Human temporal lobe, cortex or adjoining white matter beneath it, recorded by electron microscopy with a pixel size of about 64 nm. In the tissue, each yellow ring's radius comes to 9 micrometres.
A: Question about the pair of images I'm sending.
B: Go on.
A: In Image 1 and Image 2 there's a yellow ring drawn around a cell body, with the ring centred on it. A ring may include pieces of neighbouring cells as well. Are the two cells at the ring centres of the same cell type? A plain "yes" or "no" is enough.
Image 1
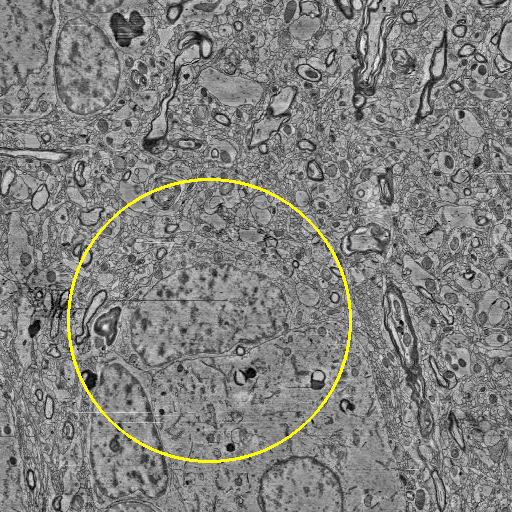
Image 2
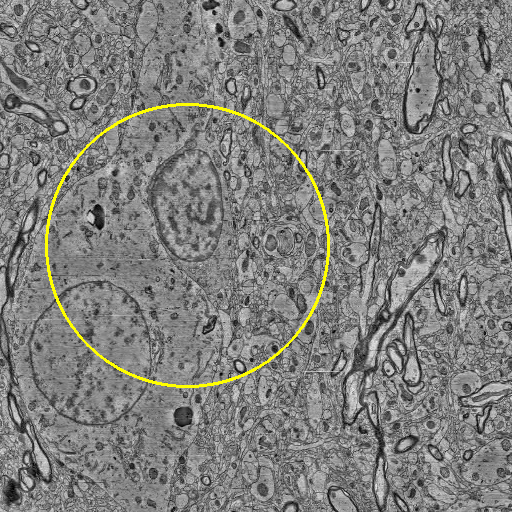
no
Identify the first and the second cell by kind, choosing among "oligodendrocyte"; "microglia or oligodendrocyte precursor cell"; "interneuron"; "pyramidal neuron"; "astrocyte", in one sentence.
The one in the first picture is an interneuron, while the one in the second is an oligodendrocyte.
